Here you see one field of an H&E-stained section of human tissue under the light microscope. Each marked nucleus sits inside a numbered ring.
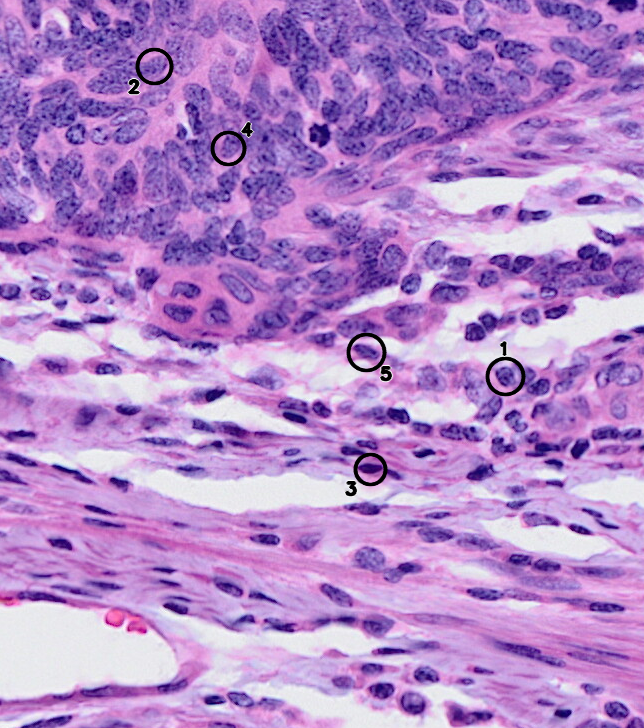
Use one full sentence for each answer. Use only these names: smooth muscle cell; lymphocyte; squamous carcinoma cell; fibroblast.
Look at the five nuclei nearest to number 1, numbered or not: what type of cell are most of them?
The majority of the five nuclei closest to number 1 belong to lymphocytes.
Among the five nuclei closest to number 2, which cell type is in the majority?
Of the five nuclei nearest to number 2, most belong to squamous carcinoma cells.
